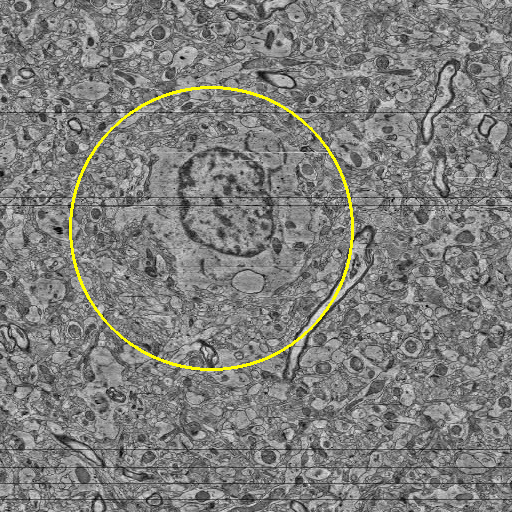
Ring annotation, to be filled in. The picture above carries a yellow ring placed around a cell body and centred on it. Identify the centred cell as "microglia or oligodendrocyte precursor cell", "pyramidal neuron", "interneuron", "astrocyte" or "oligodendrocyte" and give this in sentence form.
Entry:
The cell in the middle of the ring is an astrocyte.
